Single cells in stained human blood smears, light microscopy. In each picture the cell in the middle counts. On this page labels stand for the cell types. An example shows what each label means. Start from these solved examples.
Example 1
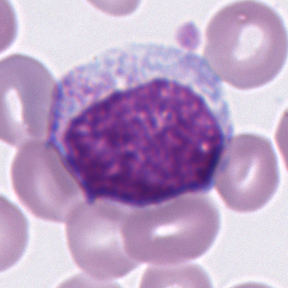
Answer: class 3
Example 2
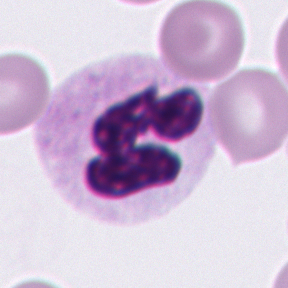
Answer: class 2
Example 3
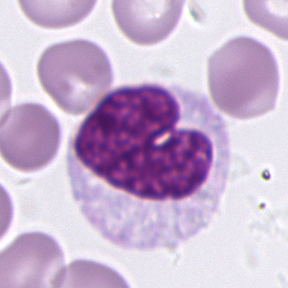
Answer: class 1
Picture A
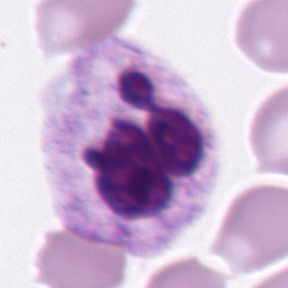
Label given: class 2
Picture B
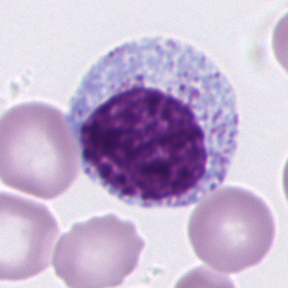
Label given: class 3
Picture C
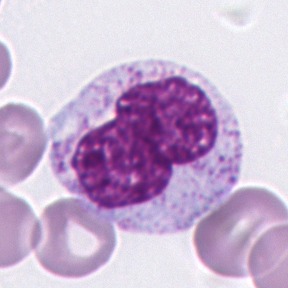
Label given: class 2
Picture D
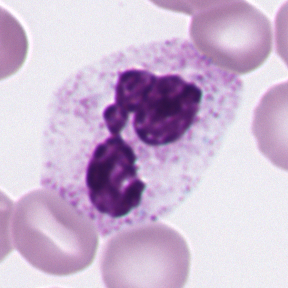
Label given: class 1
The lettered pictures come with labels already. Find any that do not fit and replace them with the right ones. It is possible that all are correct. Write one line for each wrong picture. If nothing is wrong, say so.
C: change class 2 to class 1
D: change class 1 to class 2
